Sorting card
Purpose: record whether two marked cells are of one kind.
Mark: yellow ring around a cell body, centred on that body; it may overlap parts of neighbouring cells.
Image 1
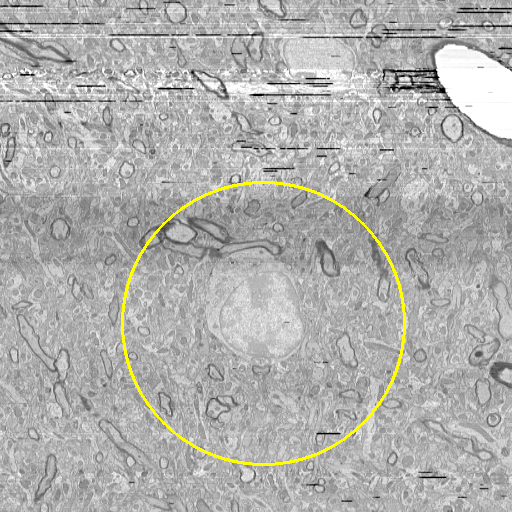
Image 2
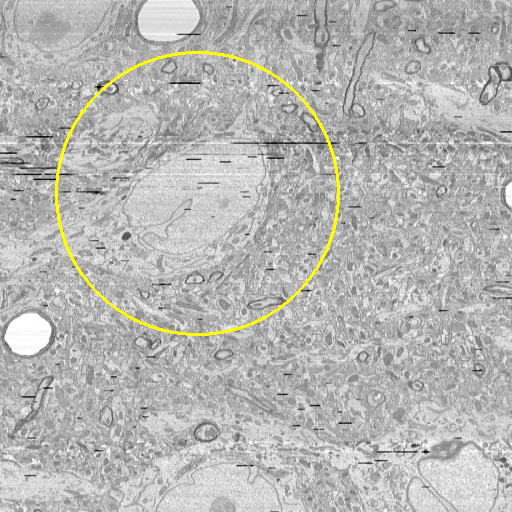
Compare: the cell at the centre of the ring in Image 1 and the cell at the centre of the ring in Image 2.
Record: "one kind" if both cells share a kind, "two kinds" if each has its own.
two kinds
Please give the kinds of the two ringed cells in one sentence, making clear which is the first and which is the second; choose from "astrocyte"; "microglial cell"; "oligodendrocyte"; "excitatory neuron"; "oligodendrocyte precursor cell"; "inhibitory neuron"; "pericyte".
In the second picture the ringed cell is an excitatory neuron; in the first it is an oligodendrocyte.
